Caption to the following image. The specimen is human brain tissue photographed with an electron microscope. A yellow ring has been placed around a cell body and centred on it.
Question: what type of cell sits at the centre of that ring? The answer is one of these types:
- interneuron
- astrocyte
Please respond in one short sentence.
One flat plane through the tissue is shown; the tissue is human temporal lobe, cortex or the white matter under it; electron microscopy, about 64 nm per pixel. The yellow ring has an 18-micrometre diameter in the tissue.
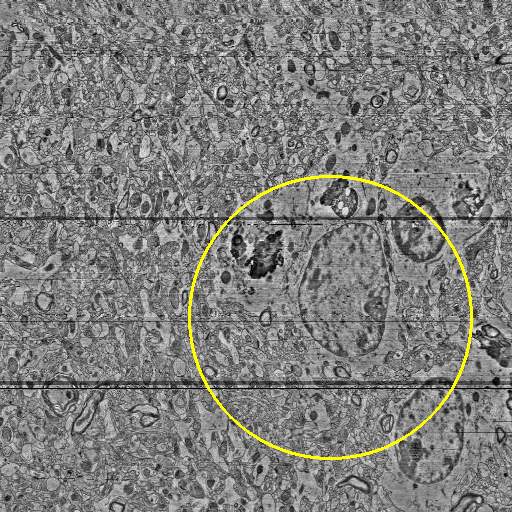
The ring surrounds the cell body of an astrocyte.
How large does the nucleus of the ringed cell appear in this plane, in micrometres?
About 9 by 6 micrometres; in this plane the nucleus is clearly longer than it is wide.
